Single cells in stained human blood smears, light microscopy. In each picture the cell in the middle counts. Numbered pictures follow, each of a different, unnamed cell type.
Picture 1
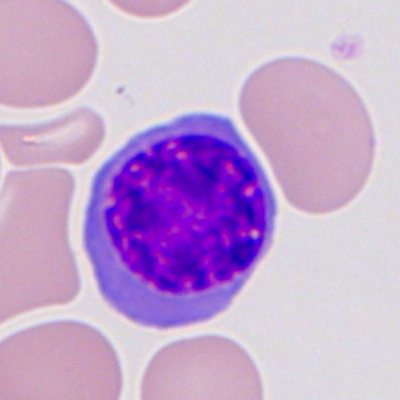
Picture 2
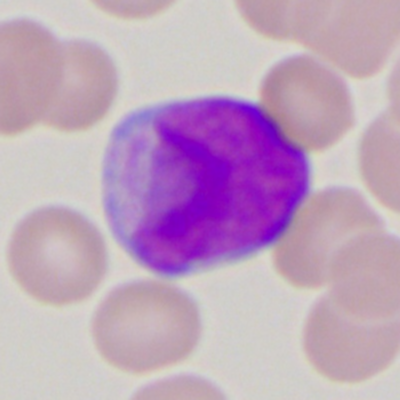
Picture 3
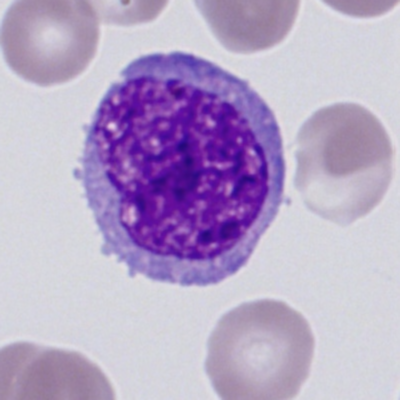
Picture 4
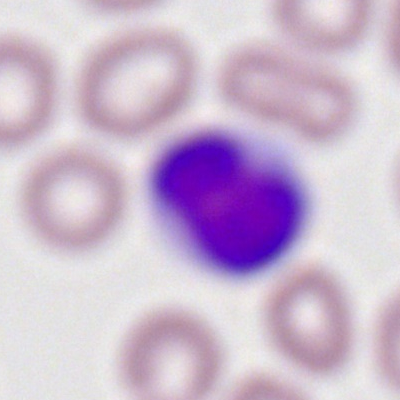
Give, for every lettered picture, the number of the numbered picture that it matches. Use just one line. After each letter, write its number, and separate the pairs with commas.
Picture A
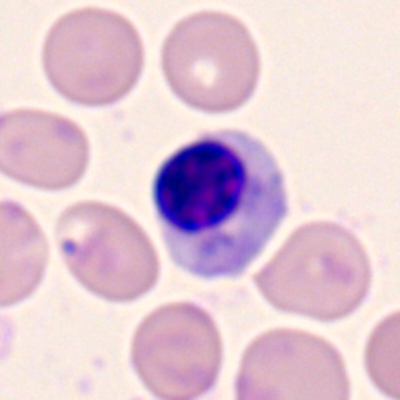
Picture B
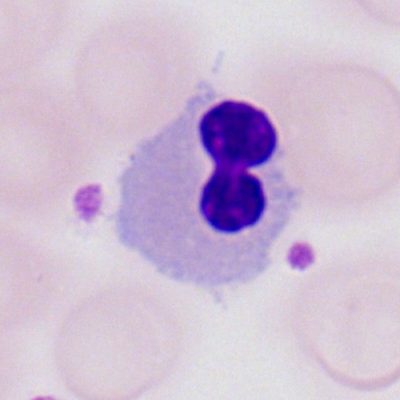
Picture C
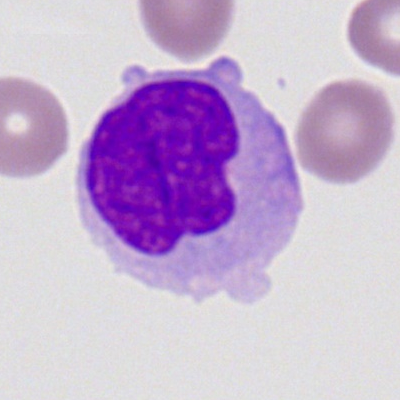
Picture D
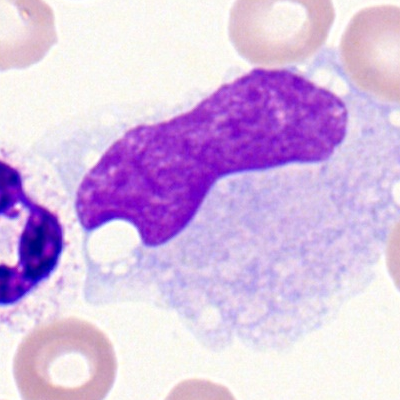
A 1, B 1, C 3, D 3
